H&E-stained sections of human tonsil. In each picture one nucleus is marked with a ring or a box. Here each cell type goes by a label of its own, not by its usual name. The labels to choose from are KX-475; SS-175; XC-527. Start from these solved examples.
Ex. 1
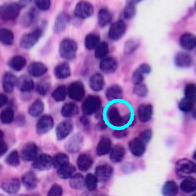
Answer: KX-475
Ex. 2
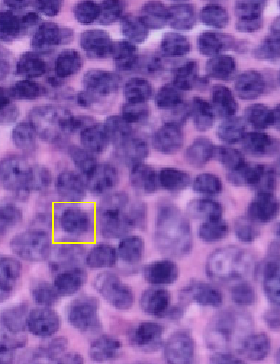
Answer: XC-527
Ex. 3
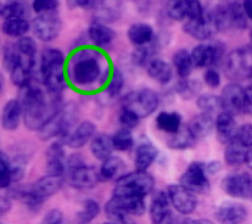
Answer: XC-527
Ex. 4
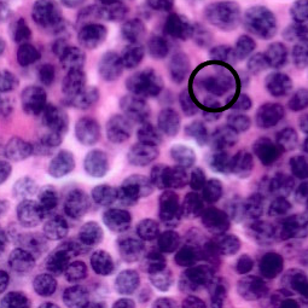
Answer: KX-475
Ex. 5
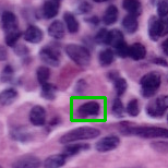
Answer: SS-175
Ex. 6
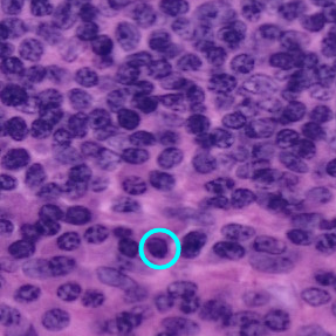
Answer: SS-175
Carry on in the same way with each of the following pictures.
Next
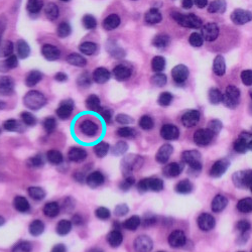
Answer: SS-175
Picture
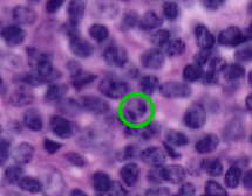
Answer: KX-475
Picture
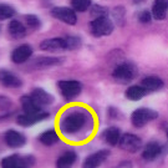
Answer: SS-175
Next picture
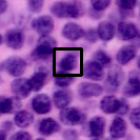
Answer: KX-475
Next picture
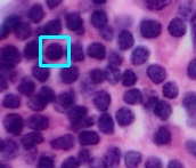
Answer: KX-475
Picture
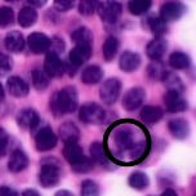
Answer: KX-475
